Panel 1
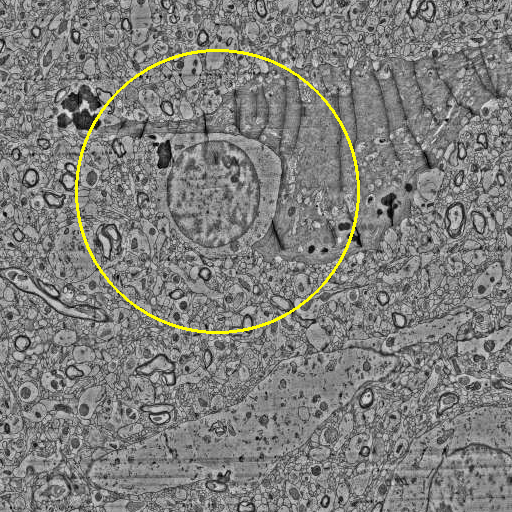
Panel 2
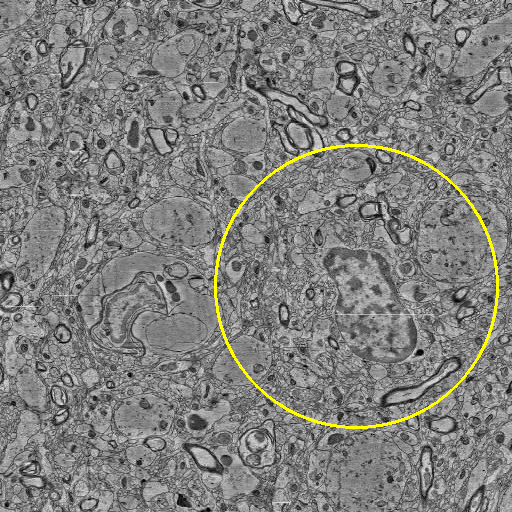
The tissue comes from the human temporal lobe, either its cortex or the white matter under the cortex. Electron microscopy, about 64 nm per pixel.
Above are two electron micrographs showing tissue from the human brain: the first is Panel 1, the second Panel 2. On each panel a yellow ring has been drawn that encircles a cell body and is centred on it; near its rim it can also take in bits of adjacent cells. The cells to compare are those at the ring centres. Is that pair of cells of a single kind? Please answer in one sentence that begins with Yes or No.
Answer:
No, the ring-centred cells of Panel 1 and Panel 2 belong to two kinds.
